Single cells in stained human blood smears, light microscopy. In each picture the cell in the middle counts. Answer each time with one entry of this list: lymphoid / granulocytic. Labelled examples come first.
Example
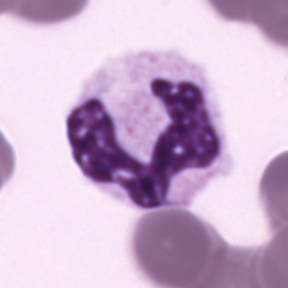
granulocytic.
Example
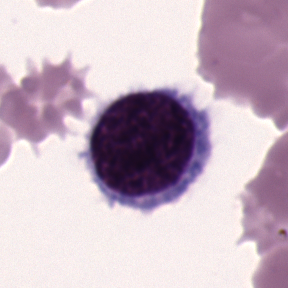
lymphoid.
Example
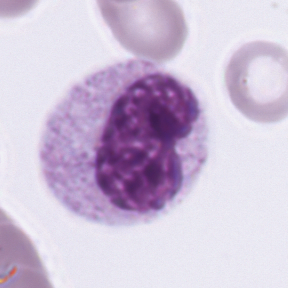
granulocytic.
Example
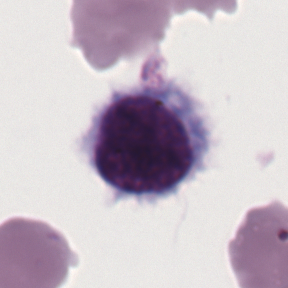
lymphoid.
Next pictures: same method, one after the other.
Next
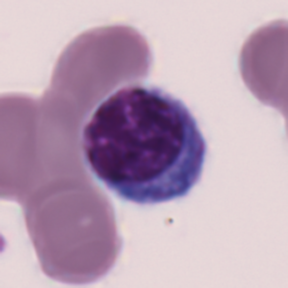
lymphoid.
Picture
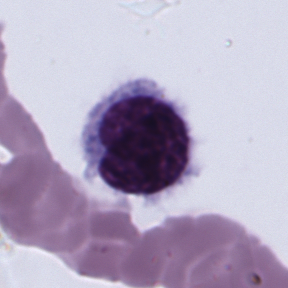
lymphoid.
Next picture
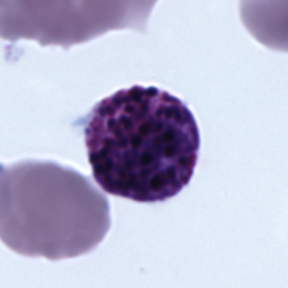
granulocytic.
